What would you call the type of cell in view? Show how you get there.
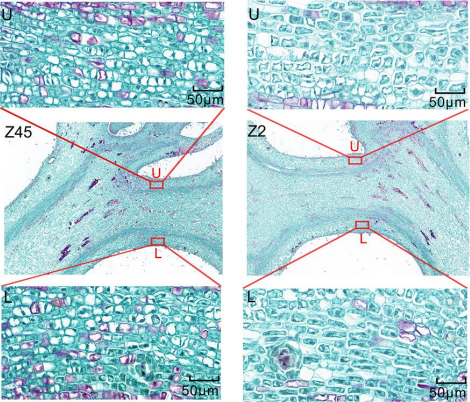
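Enlarged strips show many thin-walled, polygonal to rectangular cells packed closely together. Cell walls are stained blue-green with mostly pale interiors. Cells are roughly similar in size and arranged in loose rows.
Parenchyma cells.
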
